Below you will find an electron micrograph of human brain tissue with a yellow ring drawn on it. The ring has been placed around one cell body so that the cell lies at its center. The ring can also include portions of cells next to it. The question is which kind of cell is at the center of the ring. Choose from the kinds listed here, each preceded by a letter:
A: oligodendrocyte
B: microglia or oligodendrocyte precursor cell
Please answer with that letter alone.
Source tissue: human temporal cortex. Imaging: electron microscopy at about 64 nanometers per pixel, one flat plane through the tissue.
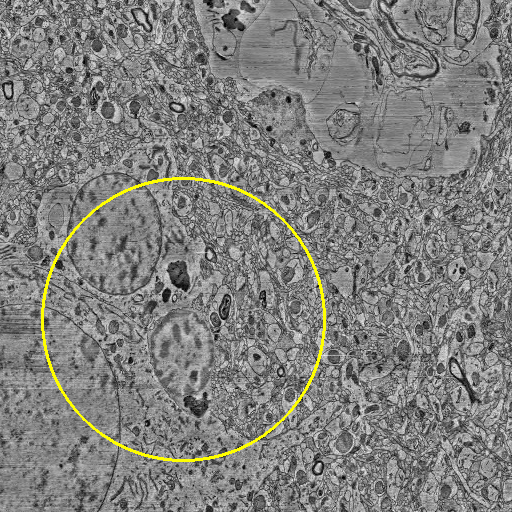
A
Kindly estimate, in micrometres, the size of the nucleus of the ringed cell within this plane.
In this plane the nucleus measures roughly 6 by 4 micrometres.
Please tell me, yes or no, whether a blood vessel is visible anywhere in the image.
Yes, one appears.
